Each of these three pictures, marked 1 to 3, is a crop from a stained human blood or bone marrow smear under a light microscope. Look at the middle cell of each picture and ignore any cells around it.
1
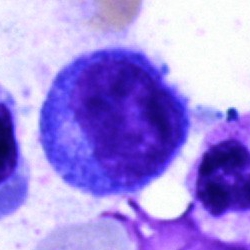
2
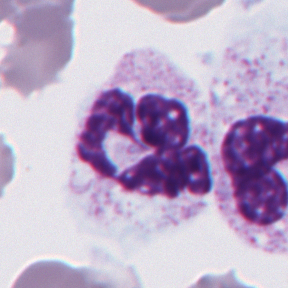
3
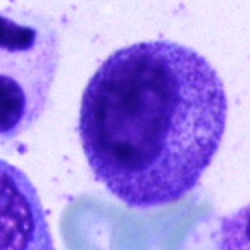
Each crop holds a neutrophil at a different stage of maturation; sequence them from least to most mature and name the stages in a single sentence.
Maturity rises in the sequence crop 1 (a promyelocyte), crop 3 (a myelocyte) and crop 2 (a segmented neutrophil).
